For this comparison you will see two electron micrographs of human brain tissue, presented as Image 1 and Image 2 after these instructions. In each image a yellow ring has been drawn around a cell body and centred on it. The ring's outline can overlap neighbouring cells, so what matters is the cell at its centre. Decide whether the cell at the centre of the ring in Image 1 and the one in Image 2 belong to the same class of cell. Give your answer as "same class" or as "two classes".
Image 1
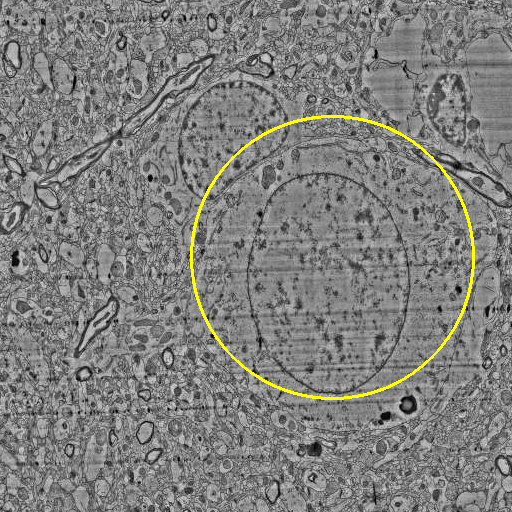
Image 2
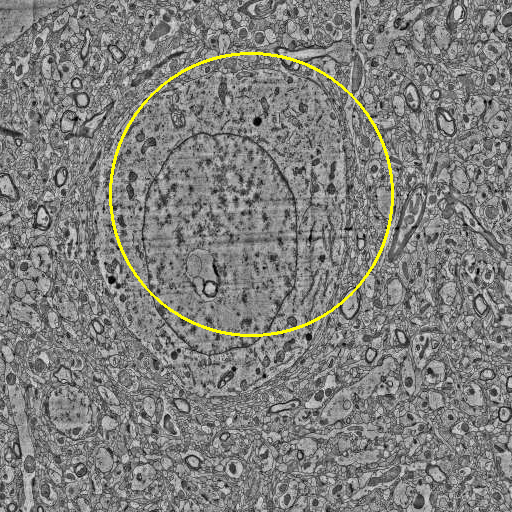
same class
